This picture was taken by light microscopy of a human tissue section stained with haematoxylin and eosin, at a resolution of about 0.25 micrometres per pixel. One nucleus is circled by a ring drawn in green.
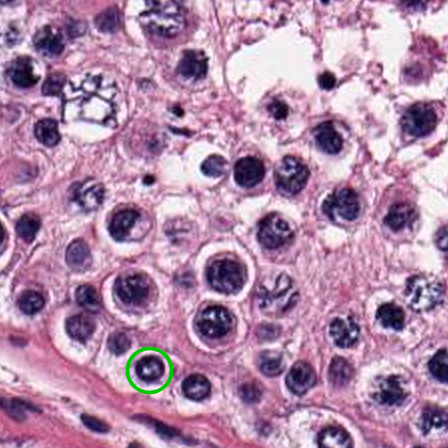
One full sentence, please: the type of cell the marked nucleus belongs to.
The mark in this picture falls on the nucleus of a spermatogonium.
